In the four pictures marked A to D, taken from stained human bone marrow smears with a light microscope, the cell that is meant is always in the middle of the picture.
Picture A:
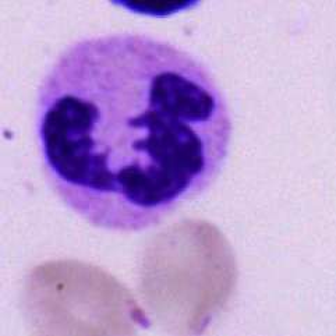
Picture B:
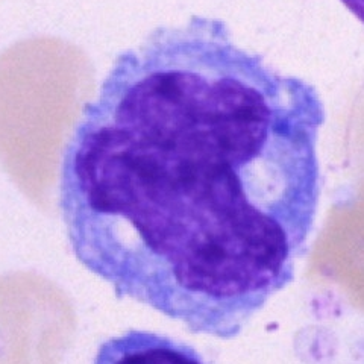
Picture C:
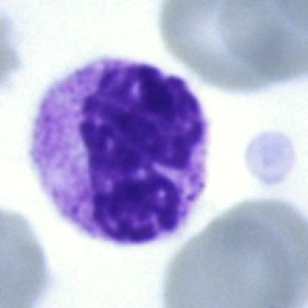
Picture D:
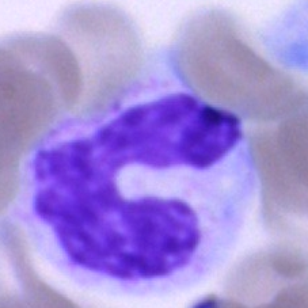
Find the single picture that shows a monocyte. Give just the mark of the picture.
B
